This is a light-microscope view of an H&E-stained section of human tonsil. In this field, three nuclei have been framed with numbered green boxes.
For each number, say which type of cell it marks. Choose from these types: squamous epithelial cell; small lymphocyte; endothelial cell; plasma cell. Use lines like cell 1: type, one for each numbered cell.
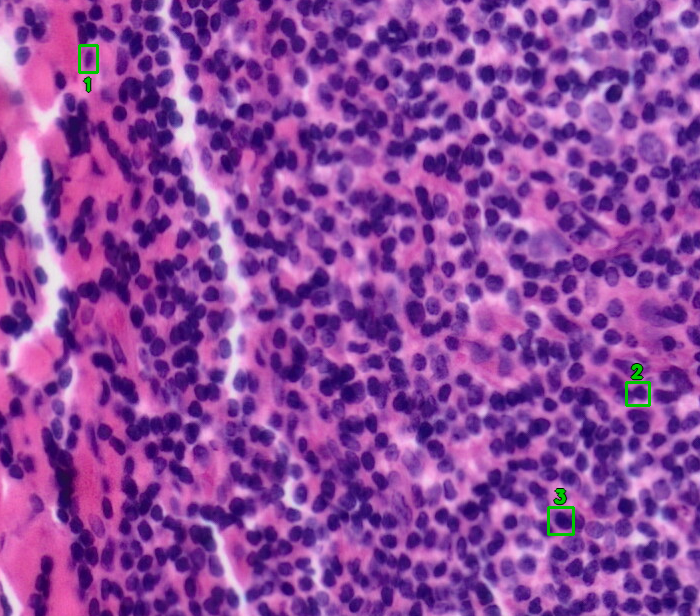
cell 1: endothelial cell
cell 2: small lymphocyte
cell 3: small lymphocyte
